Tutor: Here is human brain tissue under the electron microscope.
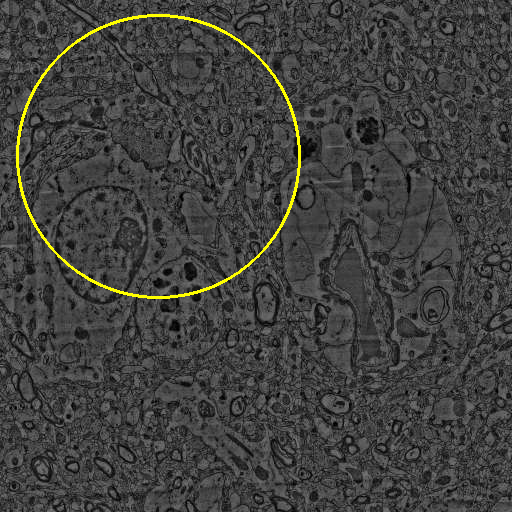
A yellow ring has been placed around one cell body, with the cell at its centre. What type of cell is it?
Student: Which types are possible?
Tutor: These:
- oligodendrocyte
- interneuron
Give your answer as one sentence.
What the ring picks out here is an oligodendrocyte.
